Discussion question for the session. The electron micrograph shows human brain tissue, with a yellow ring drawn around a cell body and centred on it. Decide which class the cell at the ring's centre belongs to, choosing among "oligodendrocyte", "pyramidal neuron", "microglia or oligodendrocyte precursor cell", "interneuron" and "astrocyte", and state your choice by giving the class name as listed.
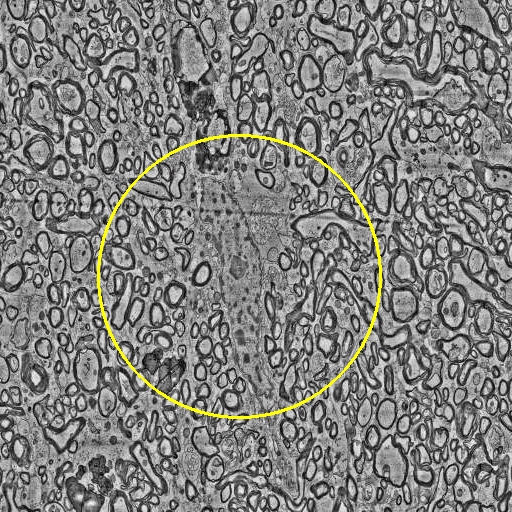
astrocyte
